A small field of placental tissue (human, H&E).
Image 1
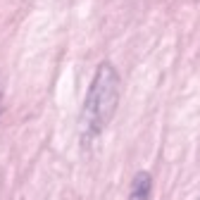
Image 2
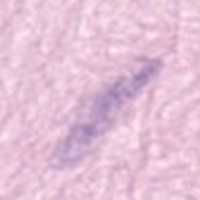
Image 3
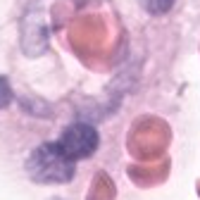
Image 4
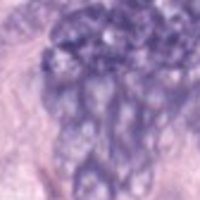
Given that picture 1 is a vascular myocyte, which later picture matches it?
2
